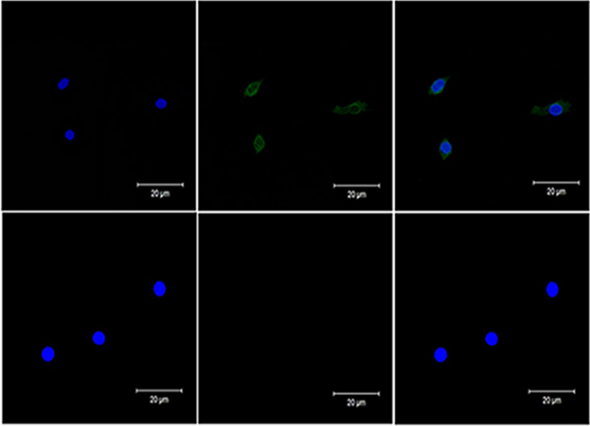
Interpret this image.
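In the upper row a faint green signal fills the cytoplasm around each nucleus, outlining a cell body that is somewhat larger than the nucleus and in places slightly elongated. In the merged image the blue nucleus sits within the green cytoplasm.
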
